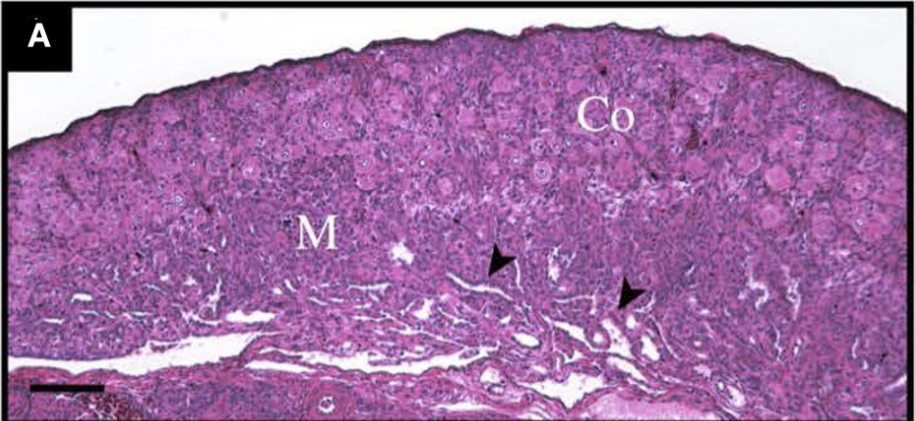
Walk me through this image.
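This ovarian tissue is densely cellular and purple under a thin surface layer. A deeper zone is equally dense but lacks these round bodies. Toward the base, many narrow, branching, empty clefts run through the tissue, and larger clear spaces lie along the lower edge. These zones are an outer cortex and an inner medulla, and the medulla is crossed by lacunar channels.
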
